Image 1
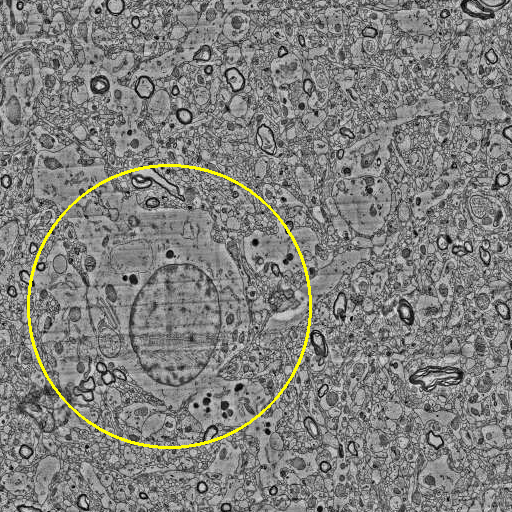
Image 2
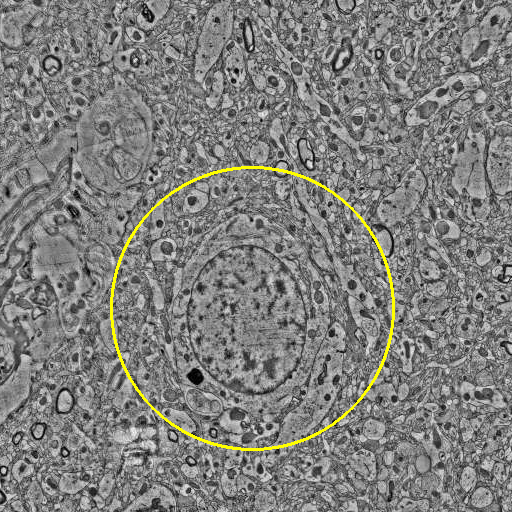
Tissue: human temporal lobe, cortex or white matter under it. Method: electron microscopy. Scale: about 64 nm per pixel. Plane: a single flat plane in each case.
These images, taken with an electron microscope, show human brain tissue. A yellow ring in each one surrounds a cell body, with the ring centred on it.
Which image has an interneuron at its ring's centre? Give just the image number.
2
